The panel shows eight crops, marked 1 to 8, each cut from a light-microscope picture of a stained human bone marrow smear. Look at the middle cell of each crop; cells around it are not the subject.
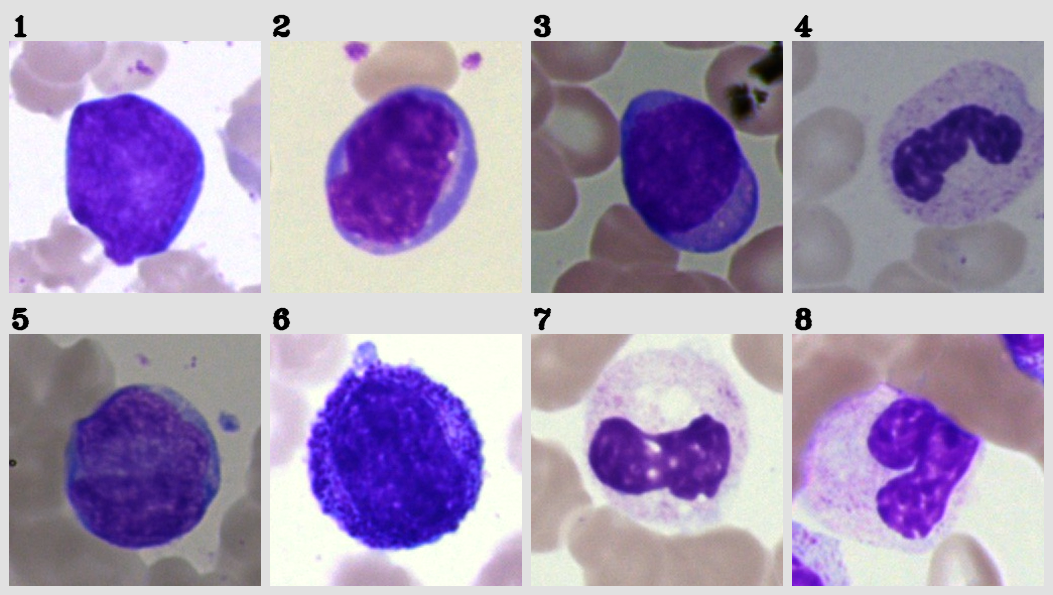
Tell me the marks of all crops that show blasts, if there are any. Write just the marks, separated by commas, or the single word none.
1, 2, 3, 5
